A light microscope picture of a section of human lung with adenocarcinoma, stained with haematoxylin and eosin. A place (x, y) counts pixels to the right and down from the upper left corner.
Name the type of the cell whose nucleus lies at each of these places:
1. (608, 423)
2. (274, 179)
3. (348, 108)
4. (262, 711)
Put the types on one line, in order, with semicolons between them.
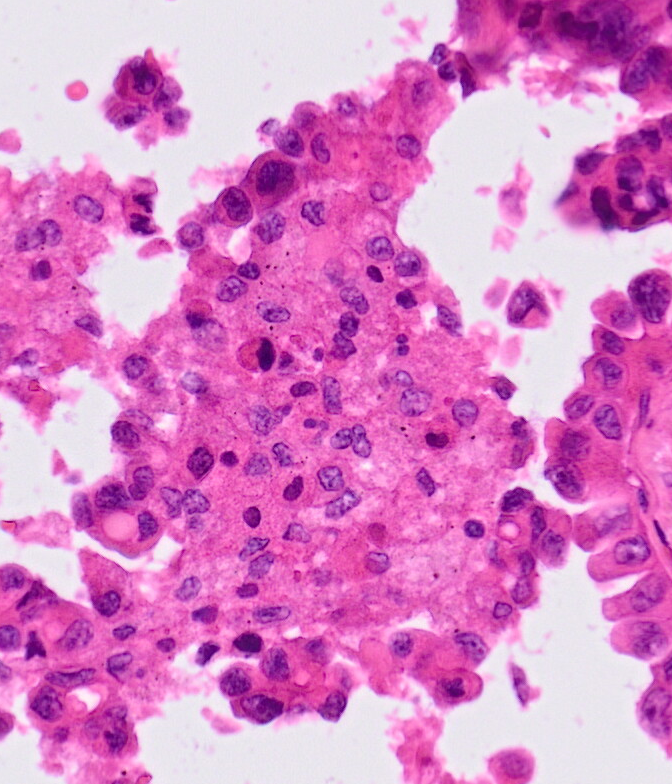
carcinoma cell; carcinoma cell; macrophage or monocyte; carcinoma cell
